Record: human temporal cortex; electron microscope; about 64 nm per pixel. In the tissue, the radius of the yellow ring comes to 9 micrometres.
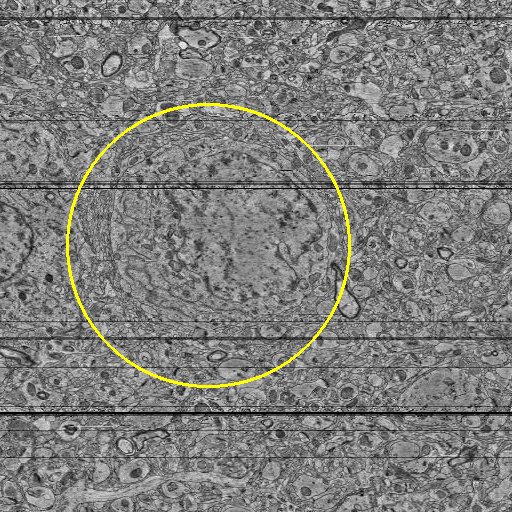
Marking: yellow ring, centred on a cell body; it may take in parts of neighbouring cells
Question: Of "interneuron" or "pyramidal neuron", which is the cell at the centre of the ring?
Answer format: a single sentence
The ring surrounds the body of an interneuron.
